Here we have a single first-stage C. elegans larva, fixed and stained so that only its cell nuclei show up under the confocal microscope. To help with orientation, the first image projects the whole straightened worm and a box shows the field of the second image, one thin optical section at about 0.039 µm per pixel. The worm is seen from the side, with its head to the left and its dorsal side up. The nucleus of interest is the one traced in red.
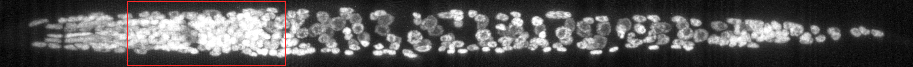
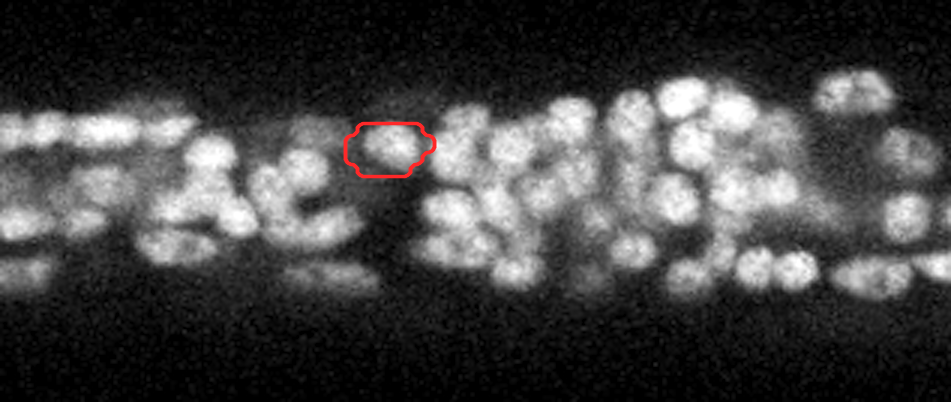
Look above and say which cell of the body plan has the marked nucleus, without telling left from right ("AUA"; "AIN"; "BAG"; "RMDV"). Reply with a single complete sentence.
The nucleus is from RMDV, a neuron.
